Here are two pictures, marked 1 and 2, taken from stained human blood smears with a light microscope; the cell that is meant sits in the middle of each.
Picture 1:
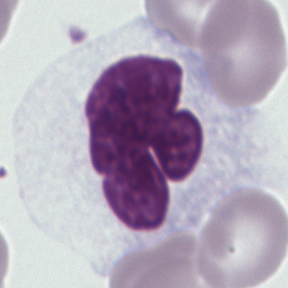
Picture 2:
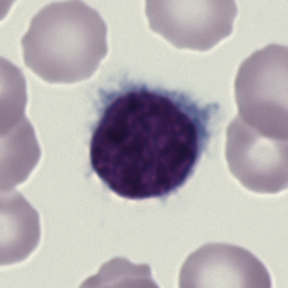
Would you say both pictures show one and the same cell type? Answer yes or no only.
no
